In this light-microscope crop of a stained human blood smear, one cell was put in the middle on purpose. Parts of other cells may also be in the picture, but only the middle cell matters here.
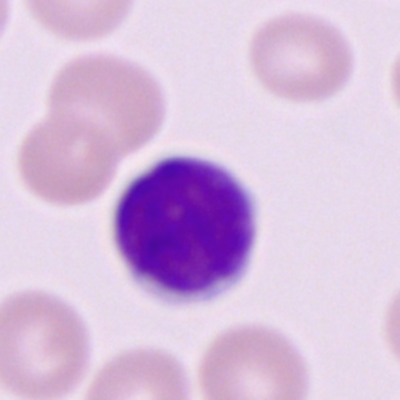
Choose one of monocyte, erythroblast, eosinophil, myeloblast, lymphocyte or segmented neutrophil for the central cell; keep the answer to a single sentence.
The cell sitting right in the middle is a lymphocyte.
